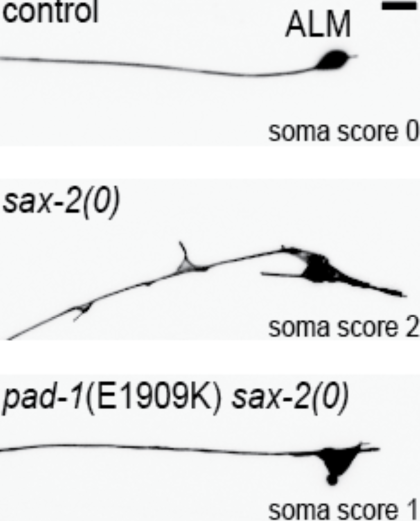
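These three images show single neurons, each with a cell body at the right and a long thin process running to the left. In the top image the cell body is a smooth oval with even labelling, and a single smooth process leaves it. In the middle image the cell body is misshapen, with several short spiky protrusions and uneven labelling, and the process bends and carries small swellings and short side branches.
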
